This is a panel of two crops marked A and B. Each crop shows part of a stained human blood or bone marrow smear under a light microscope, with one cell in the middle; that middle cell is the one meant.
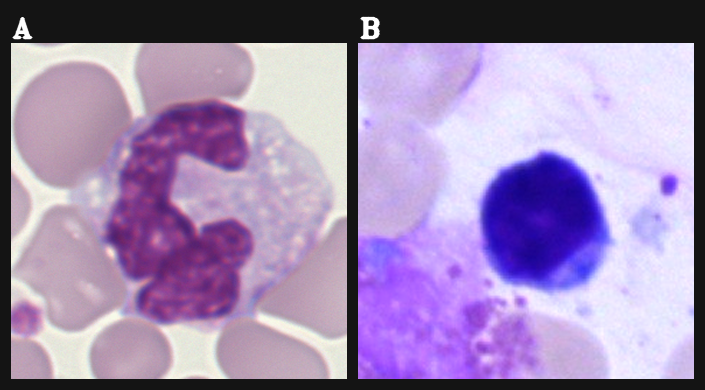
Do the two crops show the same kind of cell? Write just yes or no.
no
